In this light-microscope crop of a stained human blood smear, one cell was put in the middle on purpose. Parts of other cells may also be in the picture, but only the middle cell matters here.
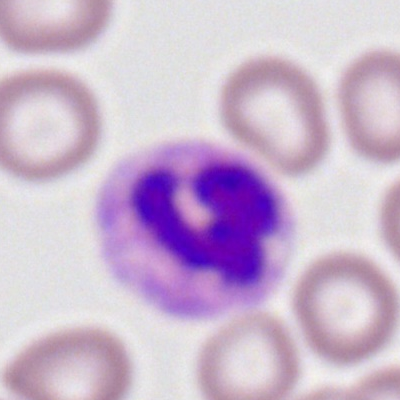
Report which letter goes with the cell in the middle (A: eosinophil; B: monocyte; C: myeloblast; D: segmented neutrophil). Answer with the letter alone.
D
